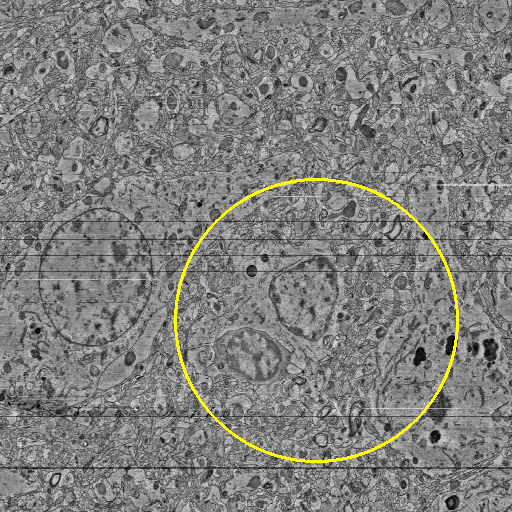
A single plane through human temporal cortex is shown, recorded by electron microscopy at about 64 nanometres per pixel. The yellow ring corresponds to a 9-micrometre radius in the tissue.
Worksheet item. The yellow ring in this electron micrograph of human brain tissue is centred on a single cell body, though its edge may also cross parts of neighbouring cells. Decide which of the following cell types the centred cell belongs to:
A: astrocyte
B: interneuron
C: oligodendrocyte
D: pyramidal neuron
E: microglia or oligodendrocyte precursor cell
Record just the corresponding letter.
E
